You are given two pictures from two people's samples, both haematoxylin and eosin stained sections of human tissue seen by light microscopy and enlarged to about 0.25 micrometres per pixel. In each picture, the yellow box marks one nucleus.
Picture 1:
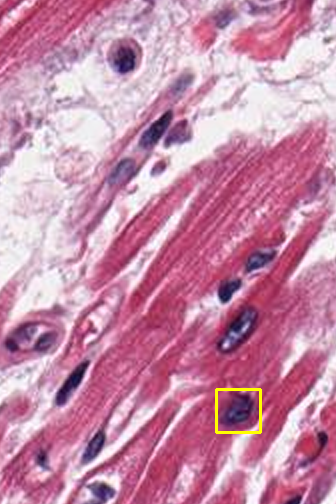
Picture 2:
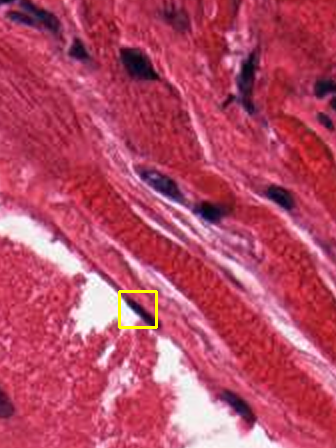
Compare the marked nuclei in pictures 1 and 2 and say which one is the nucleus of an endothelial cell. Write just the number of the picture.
2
